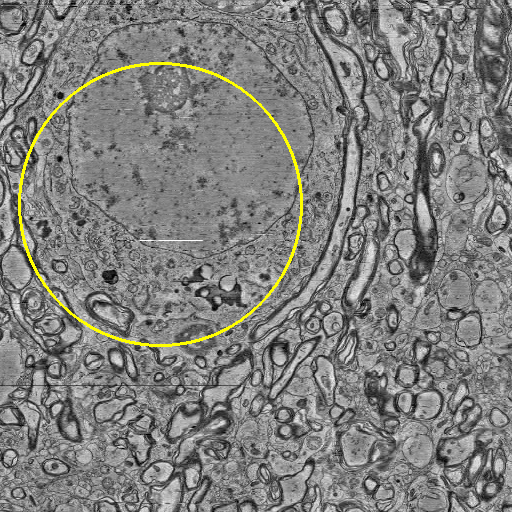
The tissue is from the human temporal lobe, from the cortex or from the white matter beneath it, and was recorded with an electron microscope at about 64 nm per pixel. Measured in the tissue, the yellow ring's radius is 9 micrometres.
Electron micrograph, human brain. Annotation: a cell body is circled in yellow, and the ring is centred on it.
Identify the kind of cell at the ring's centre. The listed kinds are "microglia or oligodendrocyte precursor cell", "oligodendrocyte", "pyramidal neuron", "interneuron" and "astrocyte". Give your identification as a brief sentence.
The circled cell body is that of a pyramidal neuron.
